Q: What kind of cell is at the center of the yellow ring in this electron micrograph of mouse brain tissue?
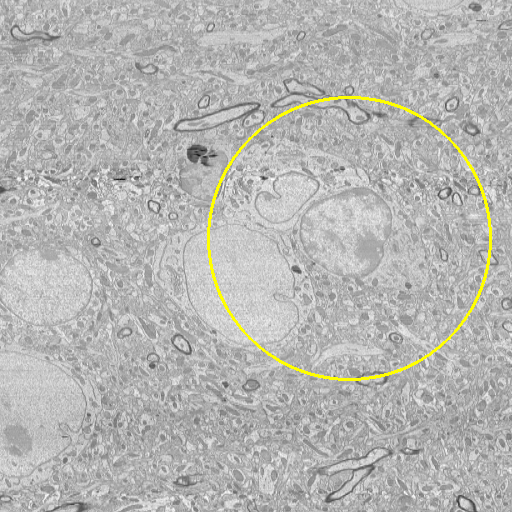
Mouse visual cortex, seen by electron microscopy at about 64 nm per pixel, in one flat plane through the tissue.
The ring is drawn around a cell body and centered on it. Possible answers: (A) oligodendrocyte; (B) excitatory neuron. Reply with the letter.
A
